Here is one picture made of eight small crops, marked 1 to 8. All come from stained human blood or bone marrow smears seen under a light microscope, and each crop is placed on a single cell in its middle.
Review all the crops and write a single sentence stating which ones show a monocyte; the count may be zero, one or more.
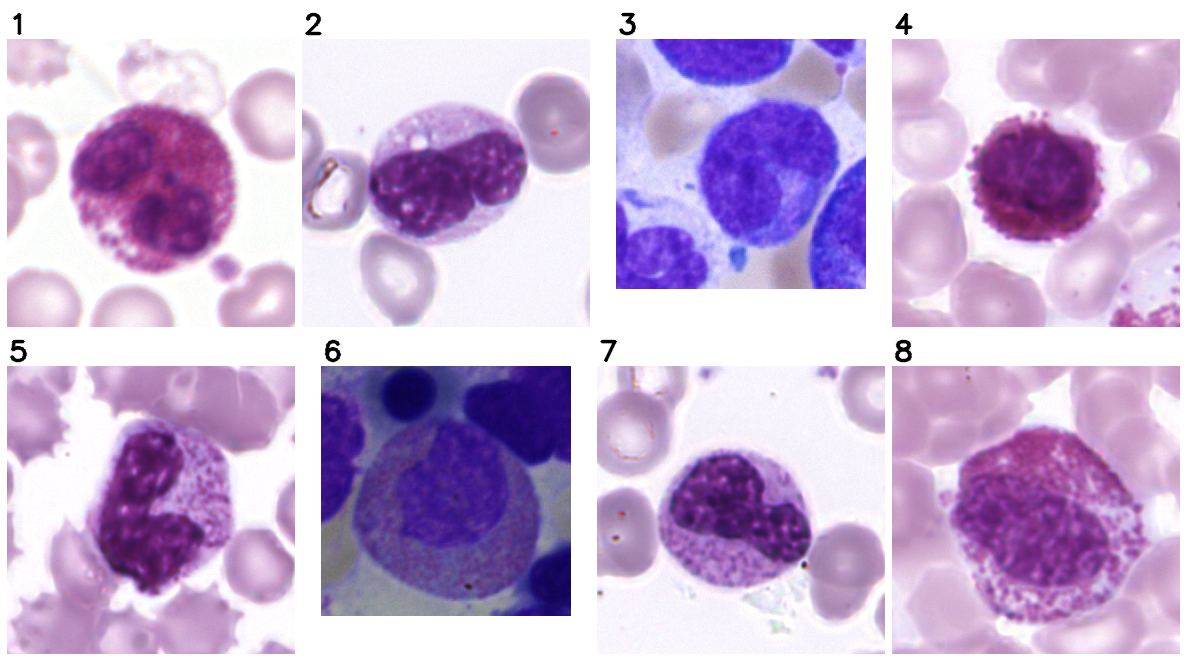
Check crop 3; it is the only crop that has a monocyte.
